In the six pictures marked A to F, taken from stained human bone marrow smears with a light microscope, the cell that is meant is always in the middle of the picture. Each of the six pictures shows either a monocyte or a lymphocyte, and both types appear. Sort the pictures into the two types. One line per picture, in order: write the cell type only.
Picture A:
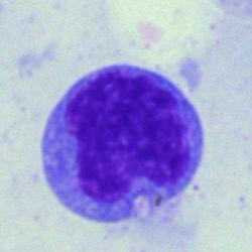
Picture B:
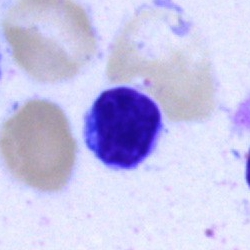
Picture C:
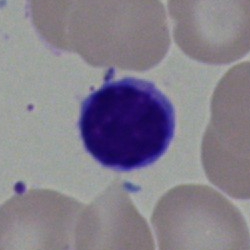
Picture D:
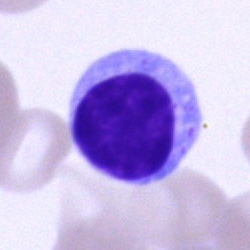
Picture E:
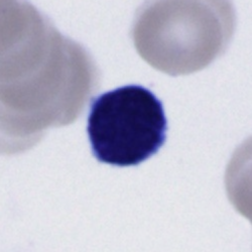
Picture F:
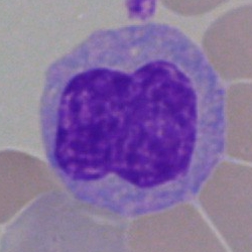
monocyte
lymphocyte
lymphocyte
lymphocyte
lymphocyte
monocyte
